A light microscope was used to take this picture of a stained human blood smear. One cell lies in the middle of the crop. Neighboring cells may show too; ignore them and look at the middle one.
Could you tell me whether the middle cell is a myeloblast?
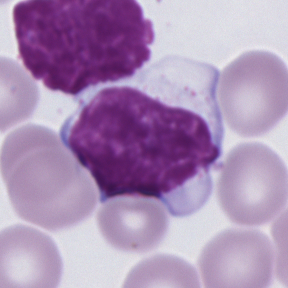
no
